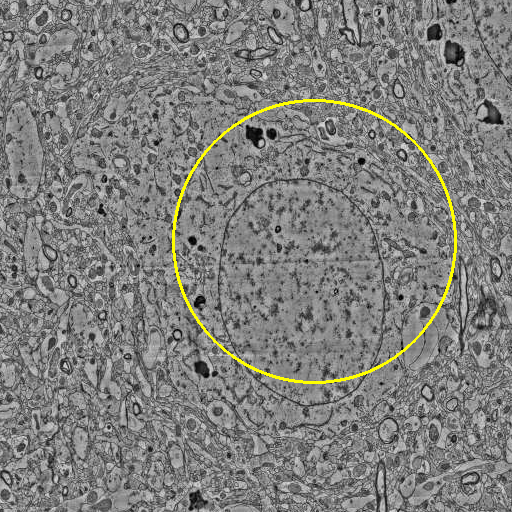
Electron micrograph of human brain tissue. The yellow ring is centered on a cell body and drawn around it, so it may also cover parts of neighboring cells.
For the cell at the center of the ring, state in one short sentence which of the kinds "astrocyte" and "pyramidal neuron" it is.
This ring is centered on a pyramidal neuron.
